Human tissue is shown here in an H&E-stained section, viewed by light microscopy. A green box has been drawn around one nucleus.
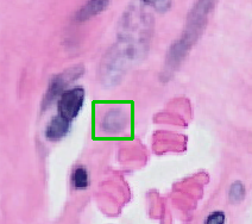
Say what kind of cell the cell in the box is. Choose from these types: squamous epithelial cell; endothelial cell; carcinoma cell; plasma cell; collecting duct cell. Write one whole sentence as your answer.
Among the cells in this section, the cell in the box is an endothelial cell.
